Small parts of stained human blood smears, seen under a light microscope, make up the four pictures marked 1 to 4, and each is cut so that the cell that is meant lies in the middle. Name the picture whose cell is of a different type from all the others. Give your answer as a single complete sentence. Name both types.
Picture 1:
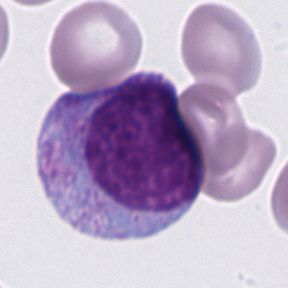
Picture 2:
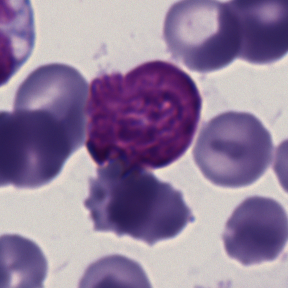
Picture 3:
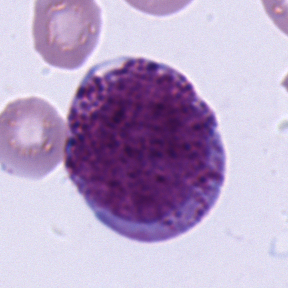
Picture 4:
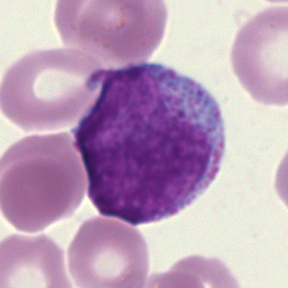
The others show promyelocytes, but picture 2 shows a smudge cell.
